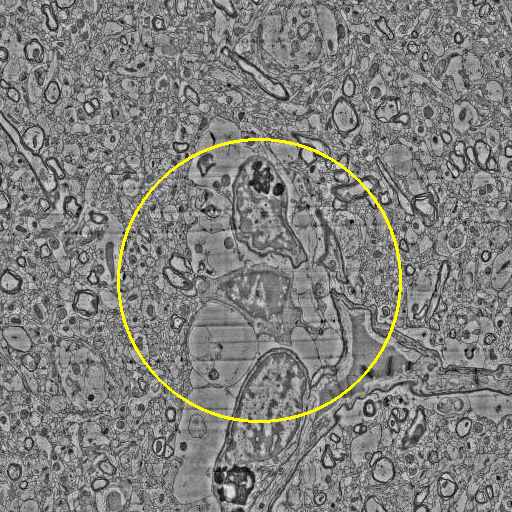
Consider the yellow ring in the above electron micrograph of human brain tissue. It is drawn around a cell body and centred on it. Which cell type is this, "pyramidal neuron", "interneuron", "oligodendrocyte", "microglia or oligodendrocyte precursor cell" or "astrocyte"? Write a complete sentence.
The cell in question is an oligodendrocyte.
